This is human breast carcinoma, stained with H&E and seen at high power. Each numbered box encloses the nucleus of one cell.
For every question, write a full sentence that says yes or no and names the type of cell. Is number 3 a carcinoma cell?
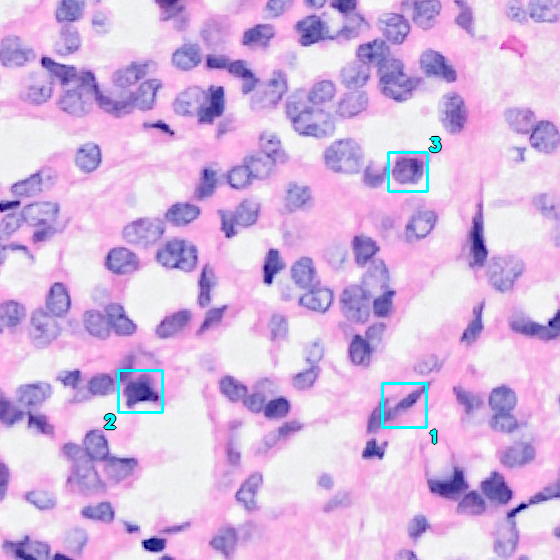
Yes, the cell with the mark numbered 3 is a carcinoma cell.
